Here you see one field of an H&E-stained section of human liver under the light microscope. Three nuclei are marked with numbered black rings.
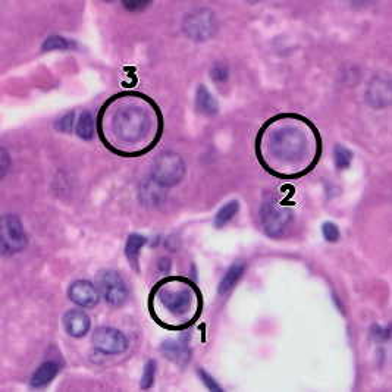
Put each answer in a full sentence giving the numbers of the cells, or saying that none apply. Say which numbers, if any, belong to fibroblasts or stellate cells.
Among the numbered nuclei, only the one labelled 1 belongs to a fibroblast or stellate cell.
